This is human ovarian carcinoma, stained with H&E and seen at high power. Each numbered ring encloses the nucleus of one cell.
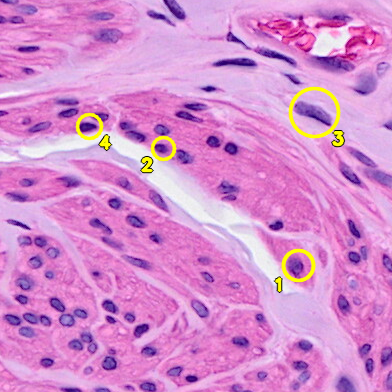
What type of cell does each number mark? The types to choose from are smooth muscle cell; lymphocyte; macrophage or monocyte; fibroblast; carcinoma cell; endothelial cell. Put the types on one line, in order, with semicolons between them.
smooth muscle cell; smooth muscle cell; fibroblast; smooth muscle cell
